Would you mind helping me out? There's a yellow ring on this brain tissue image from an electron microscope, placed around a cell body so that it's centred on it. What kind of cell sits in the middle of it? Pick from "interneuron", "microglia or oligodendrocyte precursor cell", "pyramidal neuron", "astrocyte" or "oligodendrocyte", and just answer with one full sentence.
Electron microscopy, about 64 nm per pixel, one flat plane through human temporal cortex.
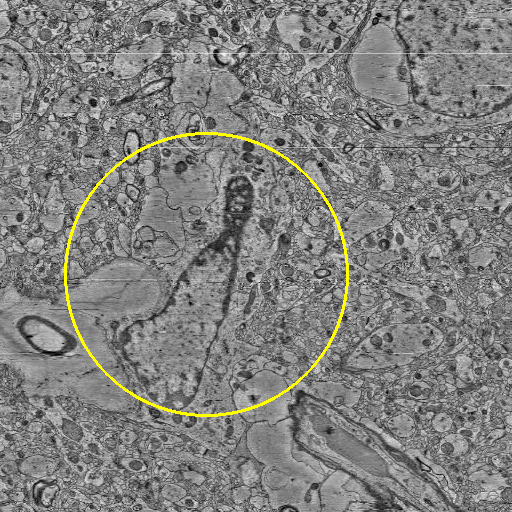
What sits in the middle of that yellow ring is a microglial cell or oligodendrocyte precursor cell, from your choices.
